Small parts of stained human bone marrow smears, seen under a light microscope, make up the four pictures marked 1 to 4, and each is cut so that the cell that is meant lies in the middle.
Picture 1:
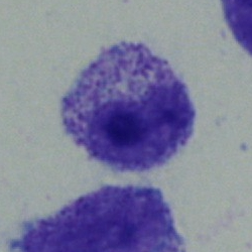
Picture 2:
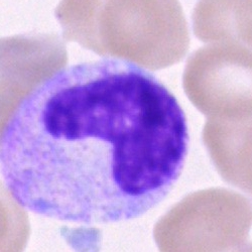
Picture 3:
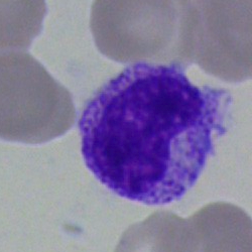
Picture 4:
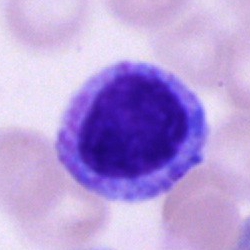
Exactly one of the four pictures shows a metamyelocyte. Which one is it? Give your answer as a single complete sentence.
Picture 2 is the one that shows the metamyelocyte.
